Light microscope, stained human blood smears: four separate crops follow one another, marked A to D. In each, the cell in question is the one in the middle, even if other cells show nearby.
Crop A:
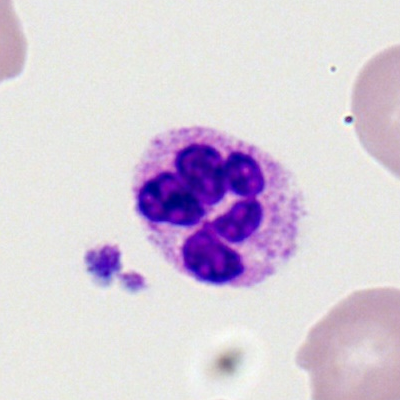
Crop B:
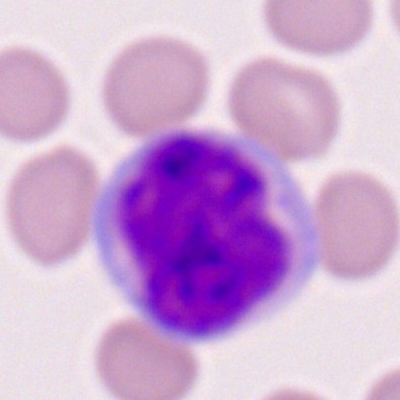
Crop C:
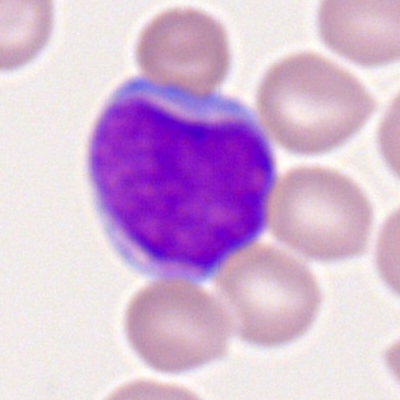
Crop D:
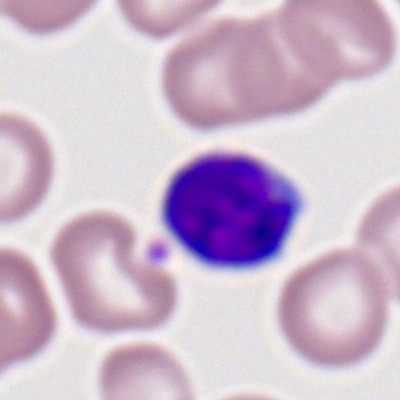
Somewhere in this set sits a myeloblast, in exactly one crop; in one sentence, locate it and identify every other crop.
The crop labelled C shows a myeloblast, whereas crop A is a segmented neutrophil, crop B is a monocyte and crop D is a lymphocyte.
